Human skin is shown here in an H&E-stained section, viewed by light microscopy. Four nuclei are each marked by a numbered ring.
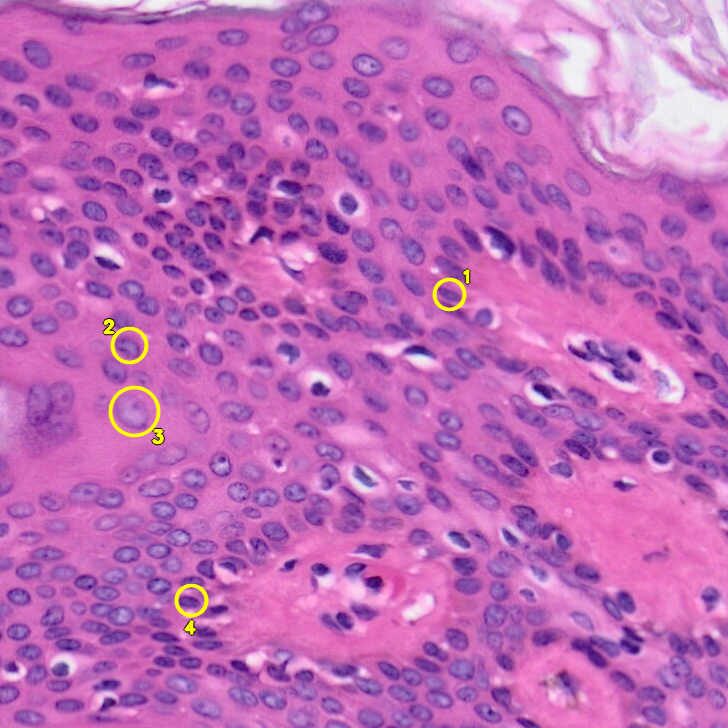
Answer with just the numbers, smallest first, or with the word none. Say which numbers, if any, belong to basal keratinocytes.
1, 4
